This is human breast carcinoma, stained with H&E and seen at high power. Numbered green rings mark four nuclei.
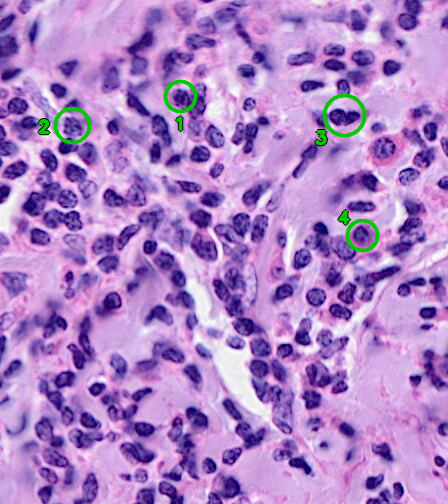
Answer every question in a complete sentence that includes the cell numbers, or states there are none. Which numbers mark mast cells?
Only the nucleus marked 4 is that of a mast cell.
